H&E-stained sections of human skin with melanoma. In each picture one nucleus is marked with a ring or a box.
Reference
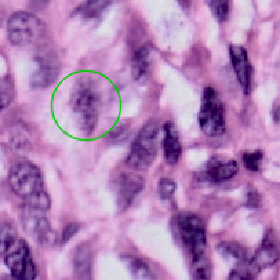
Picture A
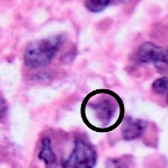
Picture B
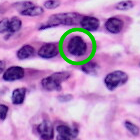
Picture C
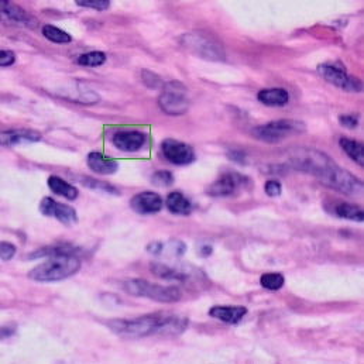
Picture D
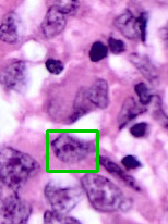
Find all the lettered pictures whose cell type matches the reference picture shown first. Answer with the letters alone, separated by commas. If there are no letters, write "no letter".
A, D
